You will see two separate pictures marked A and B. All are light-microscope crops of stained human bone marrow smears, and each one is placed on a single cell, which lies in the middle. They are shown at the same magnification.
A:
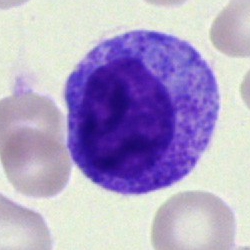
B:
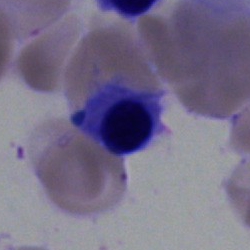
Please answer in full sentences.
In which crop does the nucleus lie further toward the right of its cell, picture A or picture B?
The nucleus in picture B lies further toward the right of its cell.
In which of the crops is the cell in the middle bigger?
It is the cell in picture A, about 4 times as large in area as the cell in picture B.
